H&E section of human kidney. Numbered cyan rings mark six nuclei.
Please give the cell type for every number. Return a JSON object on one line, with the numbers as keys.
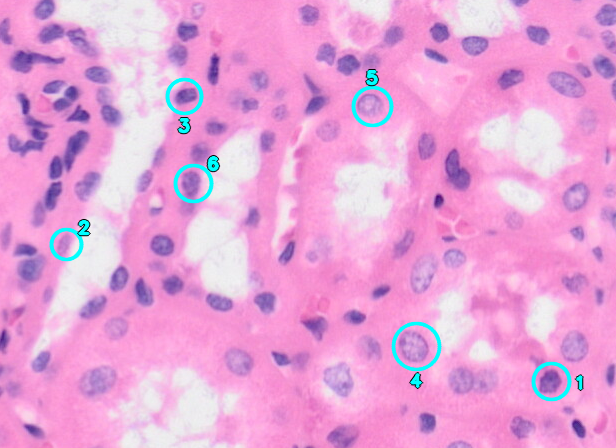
{"1": "proximal tubule cell", "2": "loop of Henle or distal tubule cell", "3": "loop of Henle or distal tubule cell", "4": "proximal tubule cell", "5": "proximal tubule cell", "6": "loop of Henle or distal tubule cell"}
